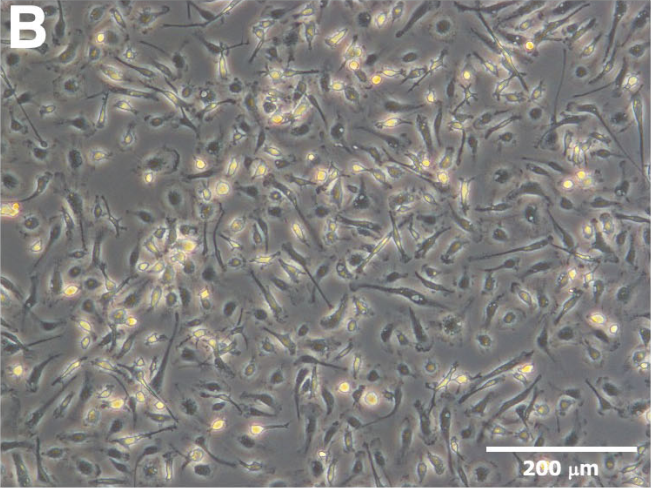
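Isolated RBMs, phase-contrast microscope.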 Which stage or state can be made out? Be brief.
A: Macrophage-like morphology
